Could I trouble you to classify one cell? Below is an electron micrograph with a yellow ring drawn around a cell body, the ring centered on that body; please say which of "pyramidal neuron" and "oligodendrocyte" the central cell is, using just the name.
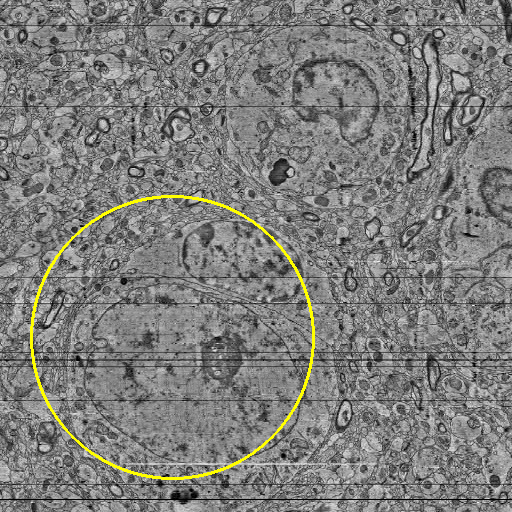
pyramidal neuron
